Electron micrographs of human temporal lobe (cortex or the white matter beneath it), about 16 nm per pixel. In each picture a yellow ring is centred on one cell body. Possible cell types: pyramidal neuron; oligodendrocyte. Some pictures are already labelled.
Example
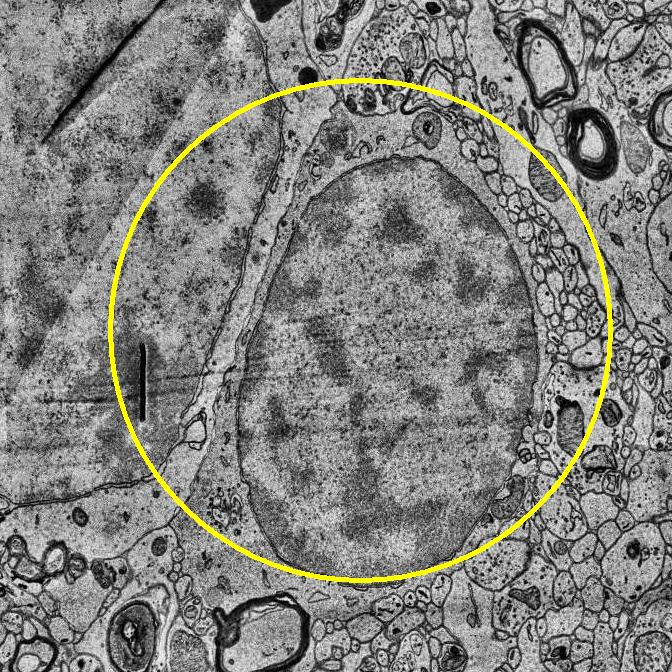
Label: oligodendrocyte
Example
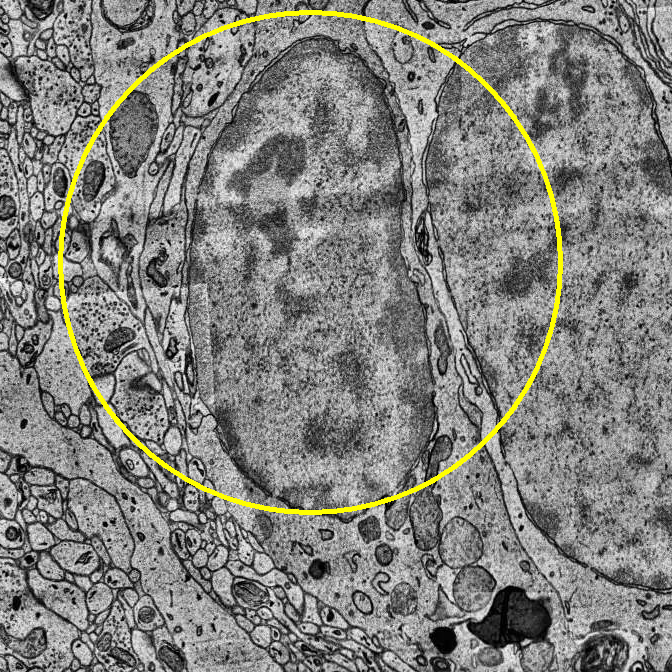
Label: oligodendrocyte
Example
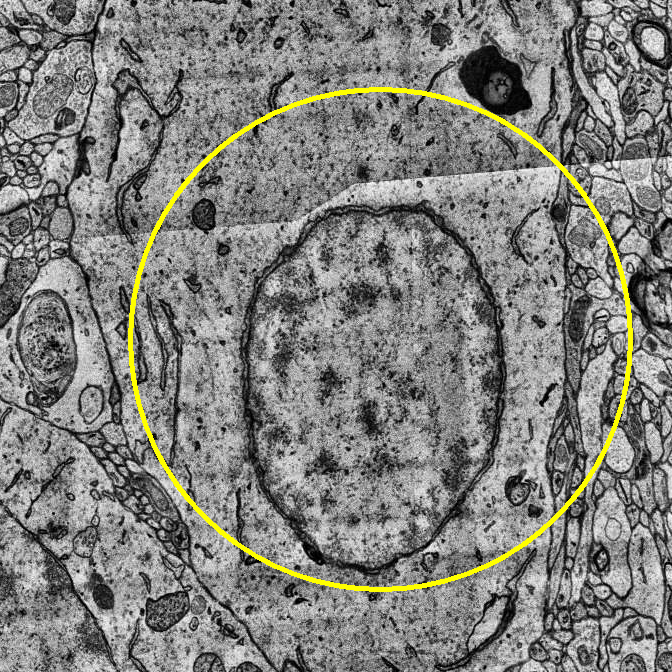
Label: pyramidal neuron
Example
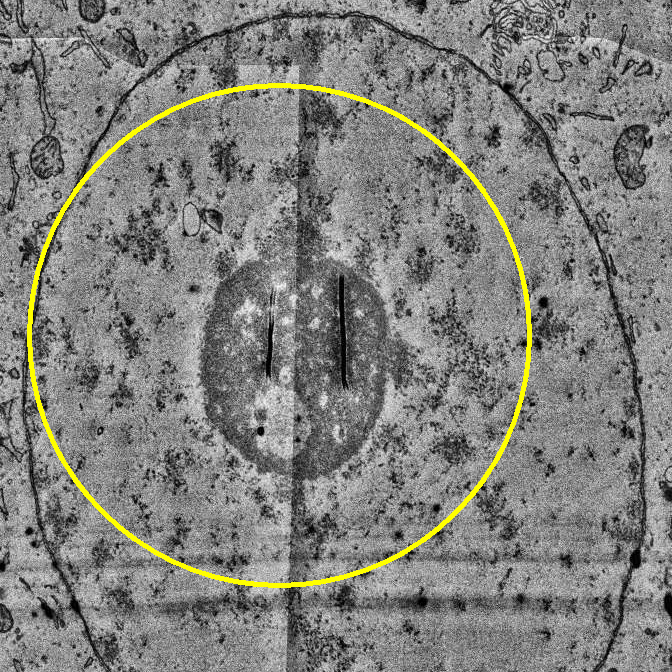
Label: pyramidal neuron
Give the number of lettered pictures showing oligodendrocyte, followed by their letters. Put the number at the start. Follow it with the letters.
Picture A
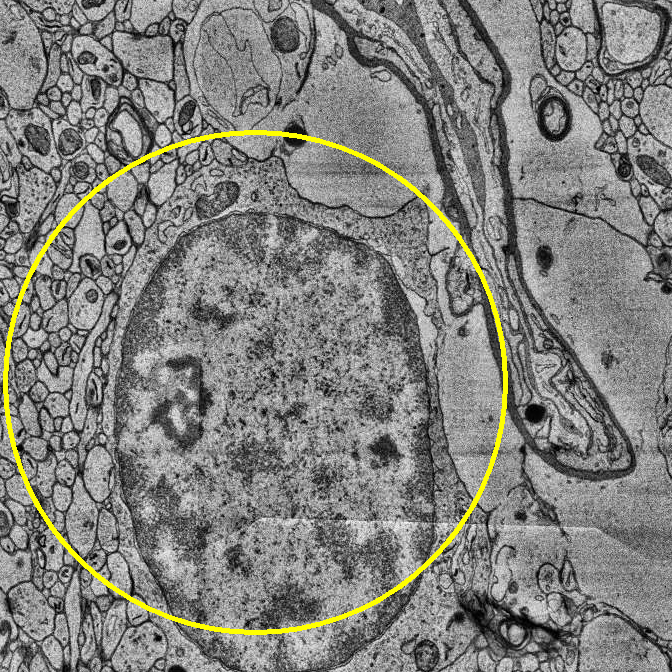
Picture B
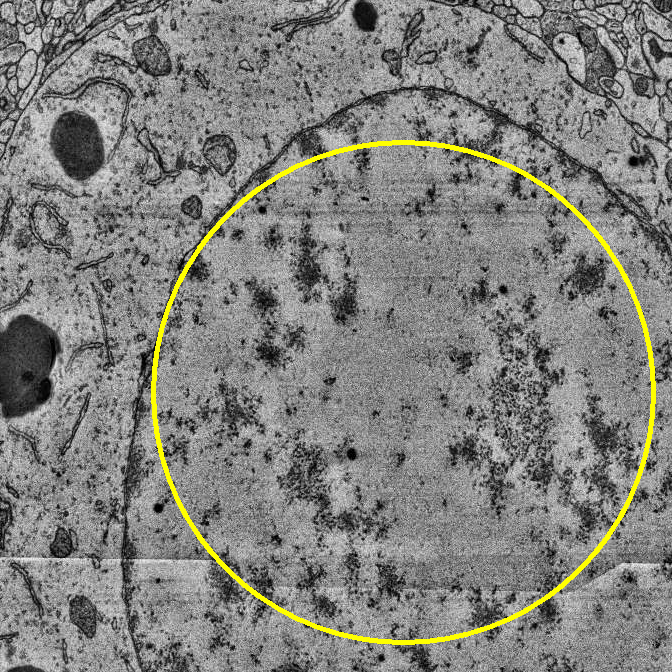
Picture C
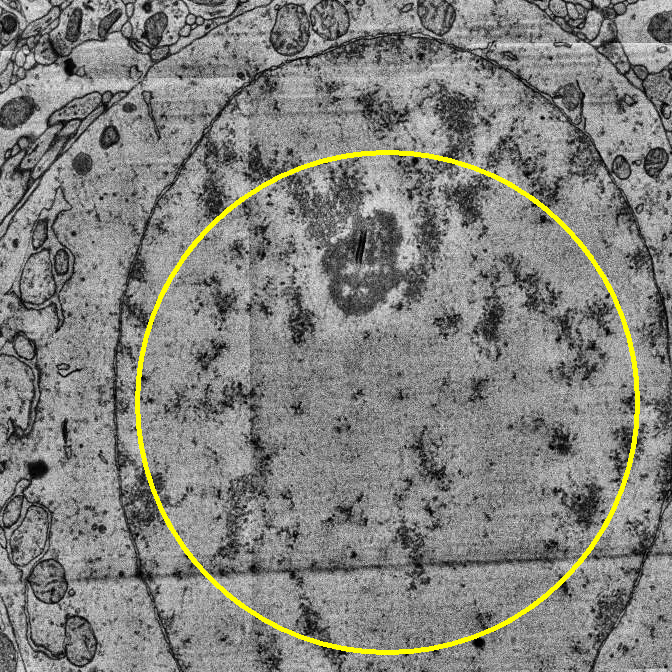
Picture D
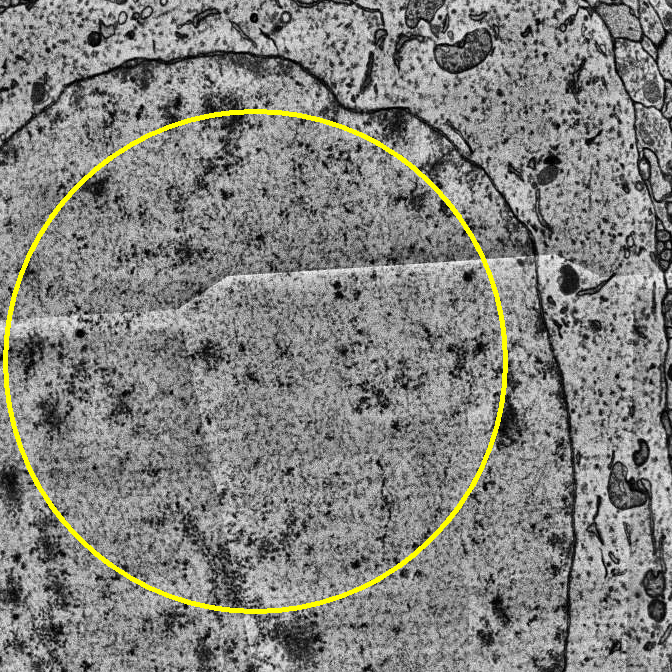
1: A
